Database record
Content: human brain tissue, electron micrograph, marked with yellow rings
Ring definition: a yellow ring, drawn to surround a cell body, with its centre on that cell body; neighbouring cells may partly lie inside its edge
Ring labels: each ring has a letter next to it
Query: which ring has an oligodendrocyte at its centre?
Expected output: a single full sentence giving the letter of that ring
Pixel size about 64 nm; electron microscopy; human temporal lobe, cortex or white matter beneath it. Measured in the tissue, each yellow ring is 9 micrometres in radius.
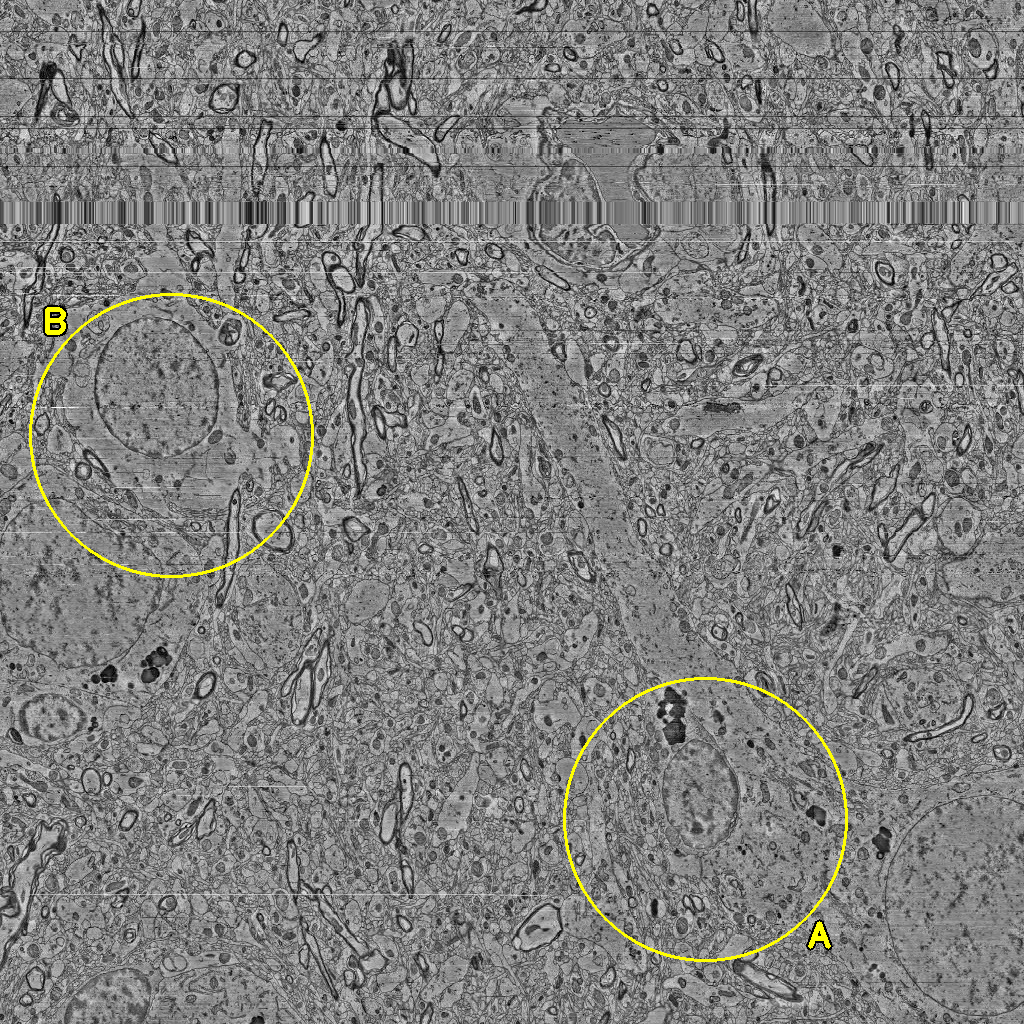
In the picture, the cell being queried lies at the centre of ring A.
